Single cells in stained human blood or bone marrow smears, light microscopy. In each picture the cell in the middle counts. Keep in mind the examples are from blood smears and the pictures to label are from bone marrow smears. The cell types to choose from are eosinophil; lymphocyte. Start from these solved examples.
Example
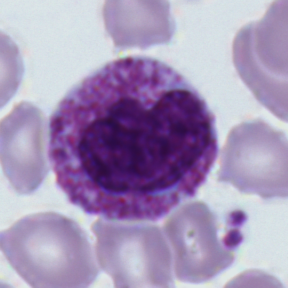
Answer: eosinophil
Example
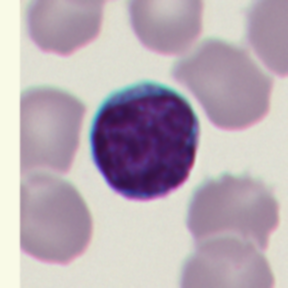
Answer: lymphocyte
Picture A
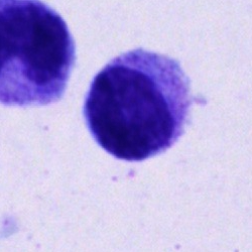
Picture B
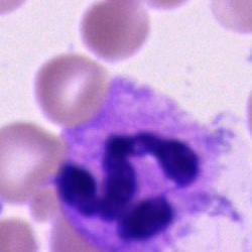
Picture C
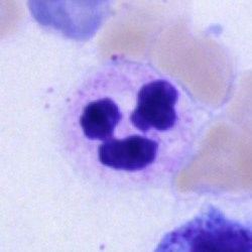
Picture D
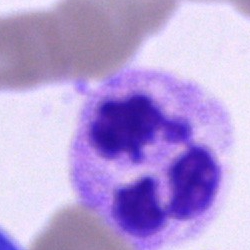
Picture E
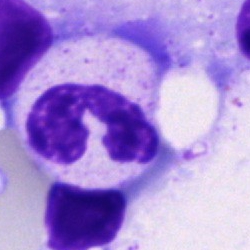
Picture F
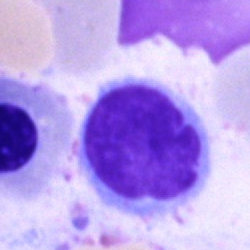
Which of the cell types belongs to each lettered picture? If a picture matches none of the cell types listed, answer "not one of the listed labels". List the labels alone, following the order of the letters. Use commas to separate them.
lymphocyte, not one of the listed labels, not one of the listed labels, not one of the listed labels, not one of the listed labels, lymphocyte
